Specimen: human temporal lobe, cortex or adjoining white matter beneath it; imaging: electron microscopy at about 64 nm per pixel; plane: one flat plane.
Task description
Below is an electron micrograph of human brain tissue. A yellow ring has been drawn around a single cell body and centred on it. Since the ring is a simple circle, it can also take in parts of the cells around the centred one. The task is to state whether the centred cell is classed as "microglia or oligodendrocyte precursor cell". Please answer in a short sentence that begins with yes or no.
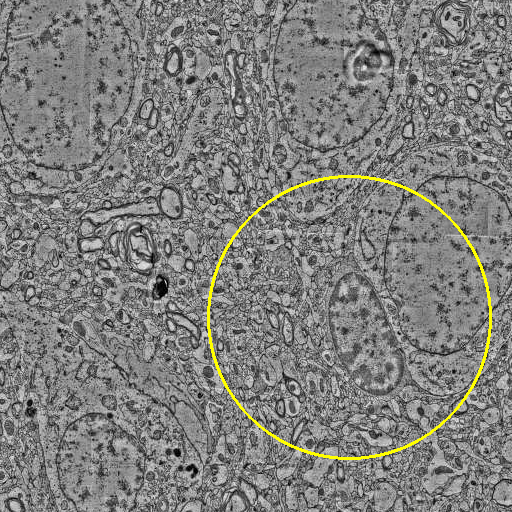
No, the centred cell is classed otherwise.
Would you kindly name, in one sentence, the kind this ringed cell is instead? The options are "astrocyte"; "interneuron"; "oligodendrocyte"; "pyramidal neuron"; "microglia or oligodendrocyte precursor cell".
Instead, the cell inside the ring is an oligodendrocyte.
